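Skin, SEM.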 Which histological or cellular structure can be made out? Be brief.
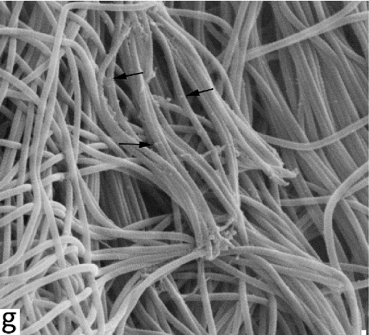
Collagen fibers of the dermis.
